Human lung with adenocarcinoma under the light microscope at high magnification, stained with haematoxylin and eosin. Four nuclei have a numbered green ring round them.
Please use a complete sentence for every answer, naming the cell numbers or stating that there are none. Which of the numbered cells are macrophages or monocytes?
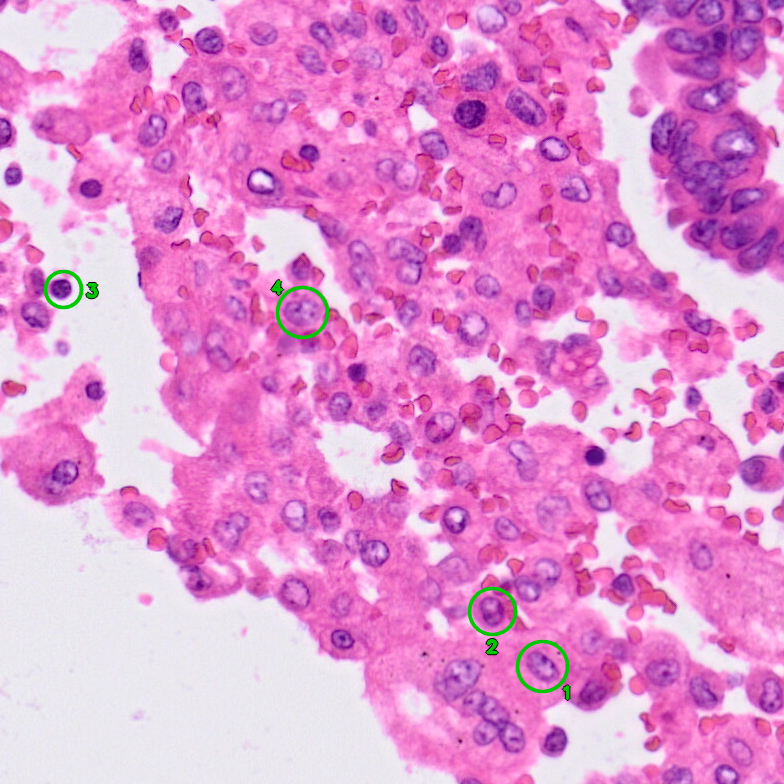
By cell type, the cells numbered 1, 2 and 4 are macrophages or monocytes.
